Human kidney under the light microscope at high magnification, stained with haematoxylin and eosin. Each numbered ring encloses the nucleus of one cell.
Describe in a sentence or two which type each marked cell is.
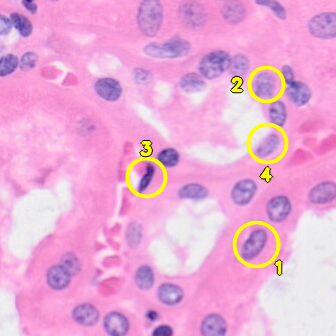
Cell 1 is a proximal tubule cell. Cells 2 and 4 are collecting duct cells. Cell 3 is an endothelial cell.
